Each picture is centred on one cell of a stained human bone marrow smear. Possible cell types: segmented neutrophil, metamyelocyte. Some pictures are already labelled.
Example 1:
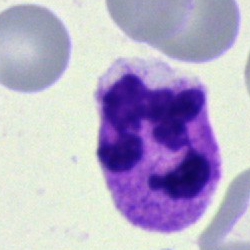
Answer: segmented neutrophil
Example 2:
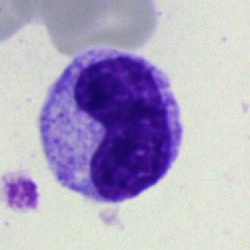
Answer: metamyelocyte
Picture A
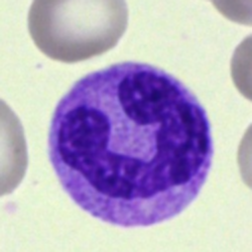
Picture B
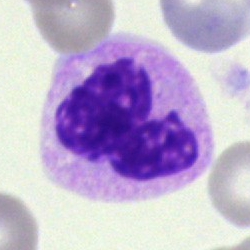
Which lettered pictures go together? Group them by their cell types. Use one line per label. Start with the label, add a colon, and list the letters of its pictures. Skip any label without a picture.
segmented neutrophil: A, B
